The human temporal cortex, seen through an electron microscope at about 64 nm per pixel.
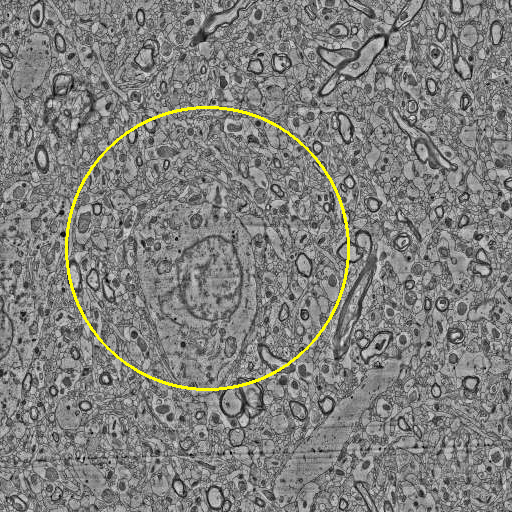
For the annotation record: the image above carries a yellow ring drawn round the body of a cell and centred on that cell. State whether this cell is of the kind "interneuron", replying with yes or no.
No, this cell is of another kind.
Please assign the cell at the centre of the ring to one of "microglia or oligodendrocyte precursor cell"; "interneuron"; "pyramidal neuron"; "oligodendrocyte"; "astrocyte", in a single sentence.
The cell that the ring is centred on is a pyramidal neuron.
